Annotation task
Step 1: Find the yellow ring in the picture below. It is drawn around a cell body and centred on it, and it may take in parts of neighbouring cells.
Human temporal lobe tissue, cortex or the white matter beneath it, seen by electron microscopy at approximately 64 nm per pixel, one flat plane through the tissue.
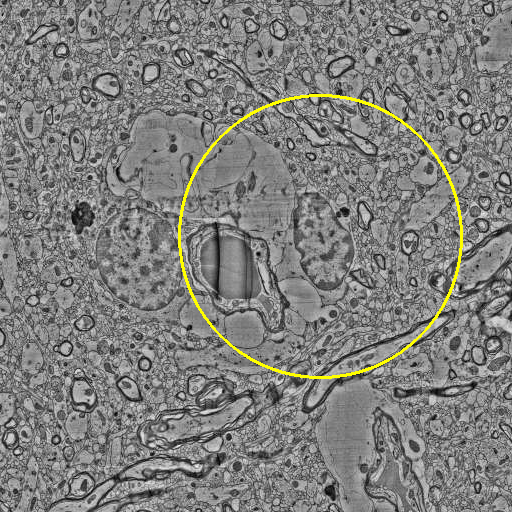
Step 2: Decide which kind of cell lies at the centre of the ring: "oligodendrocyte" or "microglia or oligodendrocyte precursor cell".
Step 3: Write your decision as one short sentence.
The kind of cell at the ring's centre is a microglial cell or oligodendrocyte precursor cell.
